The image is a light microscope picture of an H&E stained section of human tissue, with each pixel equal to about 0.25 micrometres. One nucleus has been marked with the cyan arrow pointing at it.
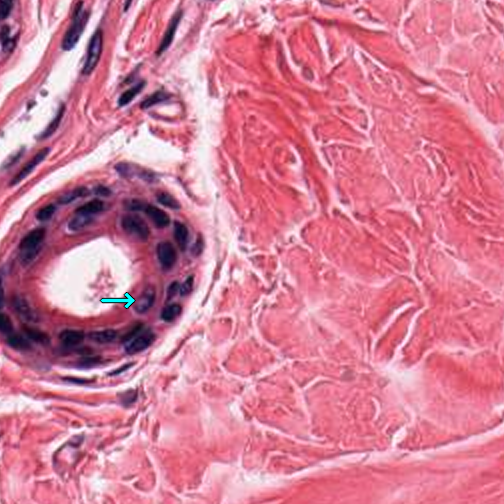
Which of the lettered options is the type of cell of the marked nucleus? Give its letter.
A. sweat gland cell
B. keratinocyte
A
